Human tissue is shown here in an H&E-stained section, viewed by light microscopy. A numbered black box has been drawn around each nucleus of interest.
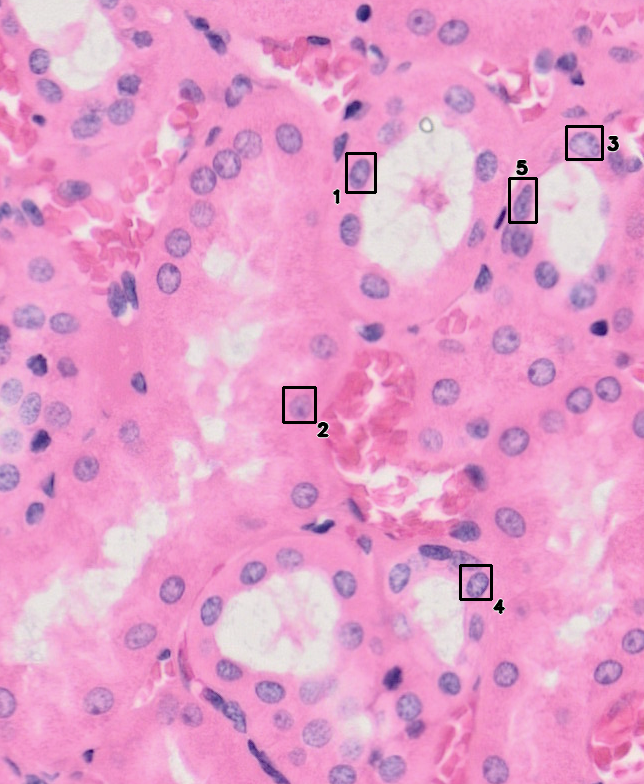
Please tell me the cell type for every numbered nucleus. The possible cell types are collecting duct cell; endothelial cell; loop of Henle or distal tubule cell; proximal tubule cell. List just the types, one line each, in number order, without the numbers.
loop of Henle or distal tubule cell
proximal tubule cell
collecting duct cell
collecting duct cell
collecting duct cell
